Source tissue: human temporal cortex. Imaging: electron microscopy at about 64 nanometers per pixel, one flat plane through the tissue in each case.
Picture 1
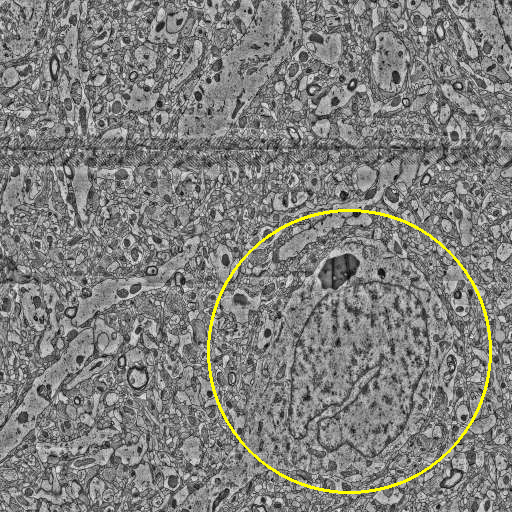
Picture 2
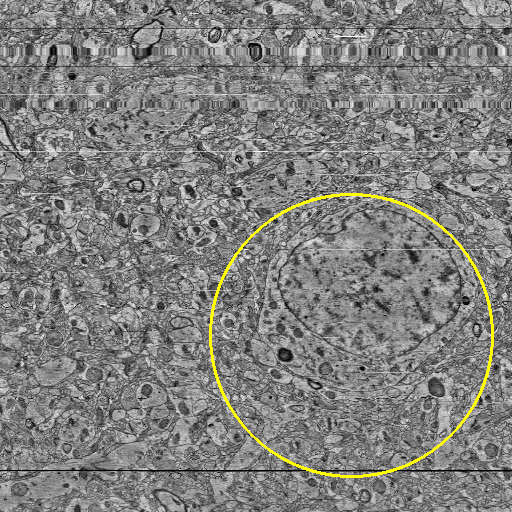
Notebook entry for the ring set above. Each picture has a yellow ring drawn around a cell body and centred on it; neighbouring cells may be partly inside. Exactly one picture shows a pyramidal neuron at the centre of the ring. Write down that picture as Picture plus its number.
Picture 2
